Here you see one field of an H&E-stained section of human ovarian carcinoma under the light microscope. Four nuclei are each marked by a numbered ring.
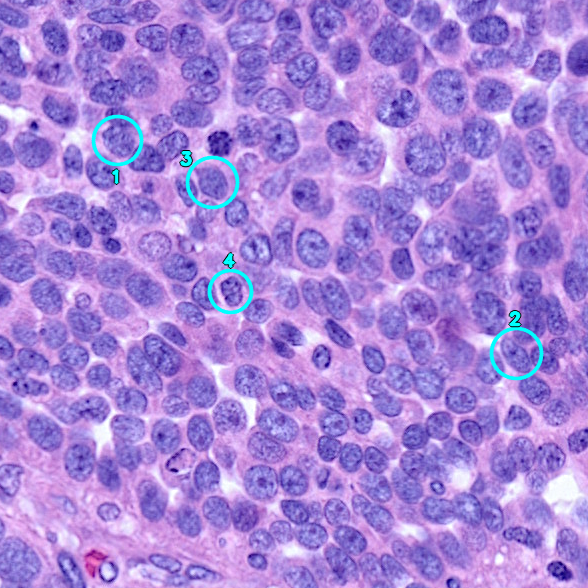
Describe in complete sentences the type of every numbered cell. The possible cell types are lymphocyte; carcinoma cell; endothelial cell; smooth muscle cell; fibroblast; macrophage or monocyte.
Cell 1 is a carcinoma cell, cell 2 is a carcinoma cell, cell 3 is a carcinoma cell and cell 4 is a macrophage or monocyte.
